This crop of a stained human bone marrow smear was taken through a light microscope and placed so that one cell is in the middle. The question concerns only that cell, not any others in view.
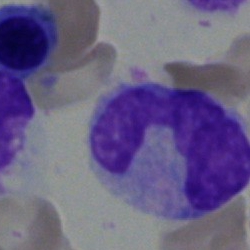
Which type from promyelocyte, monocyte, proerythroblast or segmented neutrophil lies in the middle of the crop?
monocyte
